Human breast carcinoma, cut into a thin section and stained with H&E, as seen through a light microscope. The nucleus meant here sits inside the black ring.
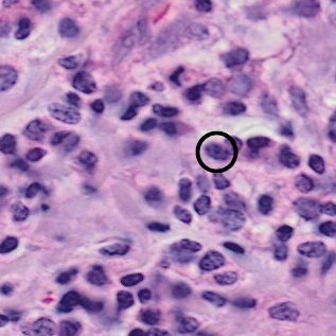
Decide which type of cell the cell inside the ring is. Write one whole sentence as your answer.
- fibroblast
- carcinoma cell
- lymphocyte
Right, so the cell inside the ring is a lymphocyte, to answer that.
